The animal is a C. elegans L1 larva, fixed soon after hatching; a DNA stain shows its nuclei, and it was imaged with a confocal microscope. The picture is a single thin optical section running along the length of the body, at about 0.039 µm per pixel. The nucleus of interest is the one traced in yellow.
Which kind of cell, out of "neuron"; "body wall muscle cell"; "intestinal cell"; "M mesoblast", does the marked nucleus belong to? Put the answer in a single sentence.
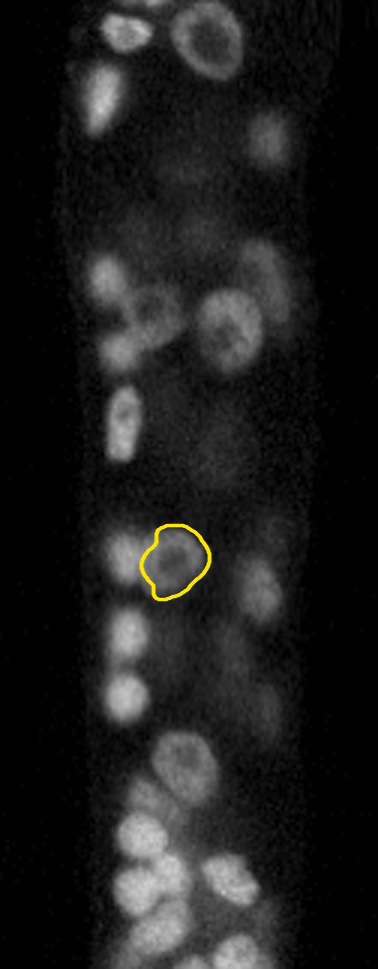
It is the nucleus of an intestinal cell.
